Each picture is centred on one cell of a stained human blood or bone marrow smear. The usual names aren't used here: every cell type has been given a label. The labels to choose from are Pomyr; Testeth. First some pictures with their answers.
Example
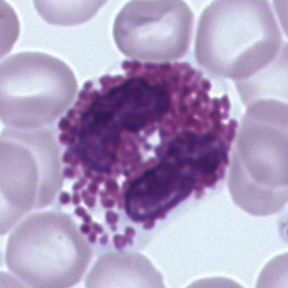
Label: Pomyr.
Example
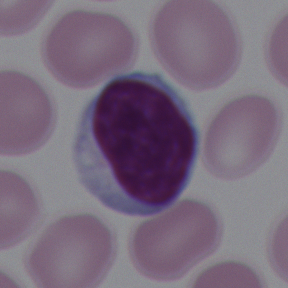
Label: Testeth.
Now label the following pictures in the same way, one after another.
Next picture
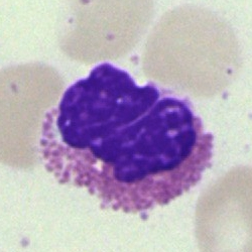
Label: Pomyr.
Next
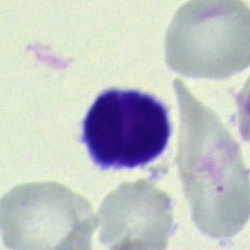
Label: Testeth.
